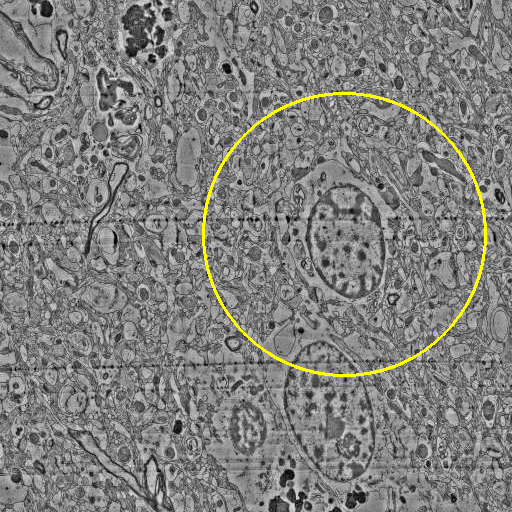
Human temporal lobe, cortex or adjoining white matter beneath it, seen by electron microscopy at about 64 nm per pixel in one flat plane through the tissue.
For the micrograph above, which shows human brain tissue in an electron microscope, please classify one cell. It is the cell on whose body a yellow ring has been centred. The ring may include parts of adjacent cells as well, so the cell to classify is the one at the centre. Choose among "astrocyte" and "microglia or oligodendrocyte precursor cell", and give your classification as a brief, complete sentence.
I classify this cell as an astrocyte.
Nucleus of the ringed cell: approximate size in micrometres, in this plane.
The ringed cell's nucleus measures approximately 7 by 5 micrometres in this plane.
